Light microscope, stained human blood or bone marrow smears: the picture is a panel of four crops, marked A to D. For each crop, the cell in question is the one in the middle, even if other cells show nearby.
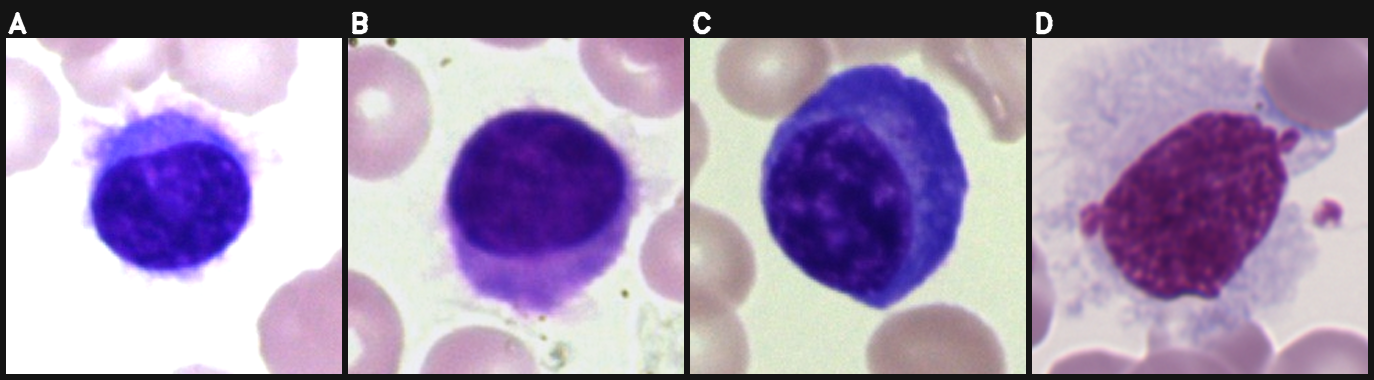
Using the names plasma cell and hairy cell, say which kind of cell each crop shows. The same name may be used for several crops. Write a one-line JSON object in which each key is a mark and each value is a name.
{"A": "hairy cell", "B": "hairy cell", "C": "plasma cell", "D": "hairy cell"}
